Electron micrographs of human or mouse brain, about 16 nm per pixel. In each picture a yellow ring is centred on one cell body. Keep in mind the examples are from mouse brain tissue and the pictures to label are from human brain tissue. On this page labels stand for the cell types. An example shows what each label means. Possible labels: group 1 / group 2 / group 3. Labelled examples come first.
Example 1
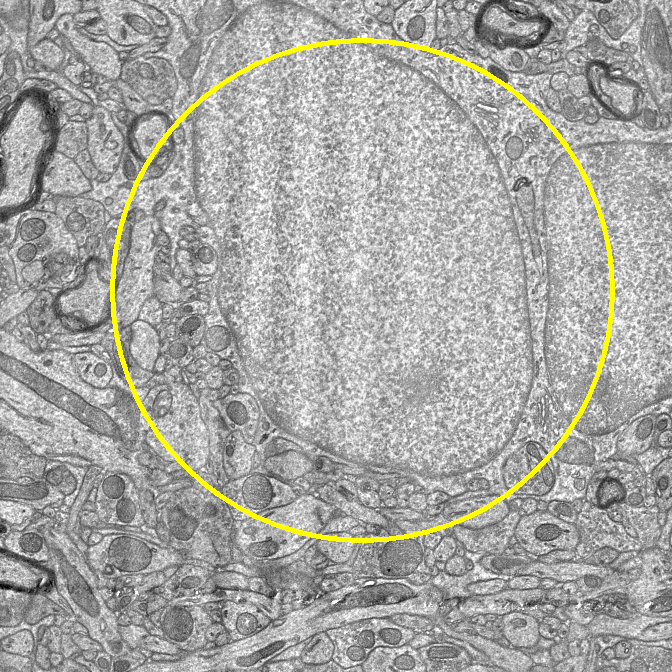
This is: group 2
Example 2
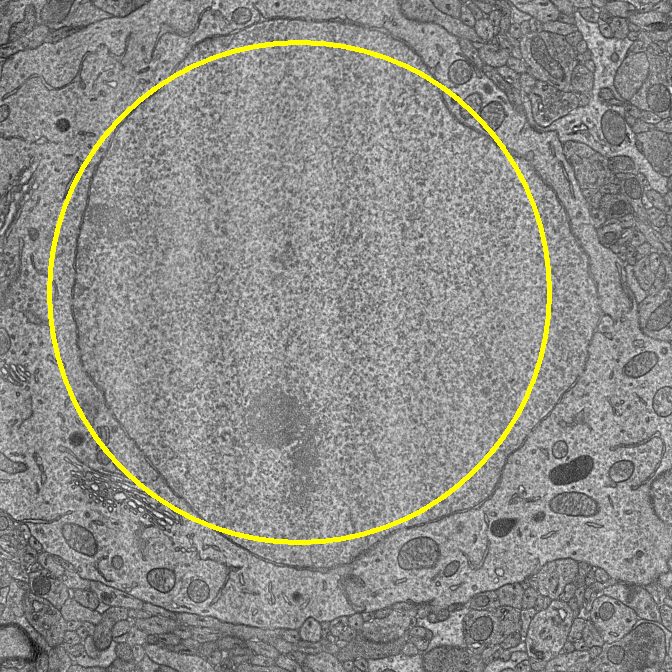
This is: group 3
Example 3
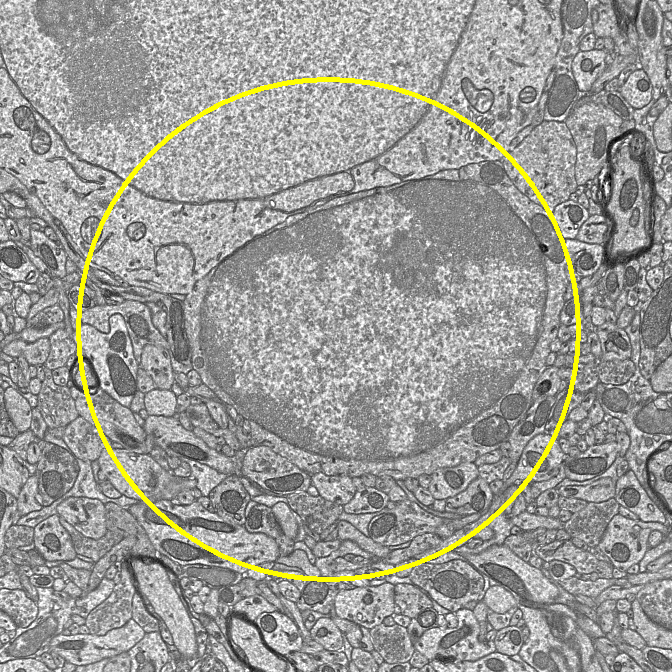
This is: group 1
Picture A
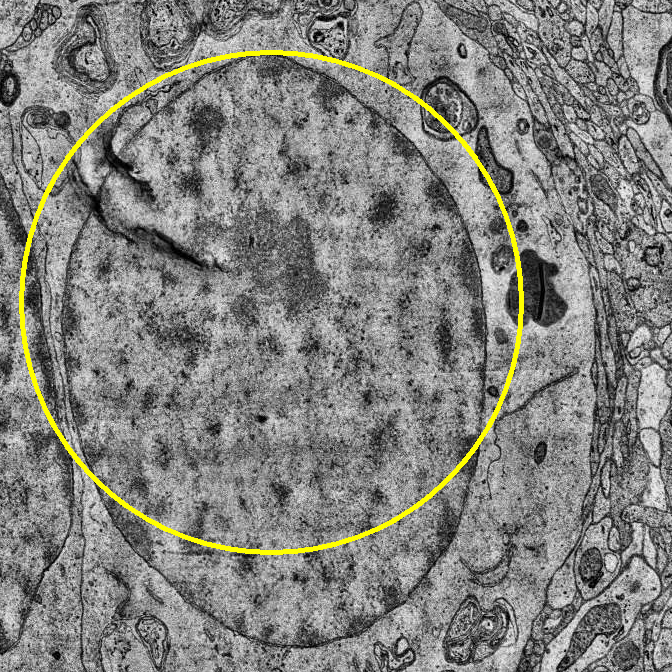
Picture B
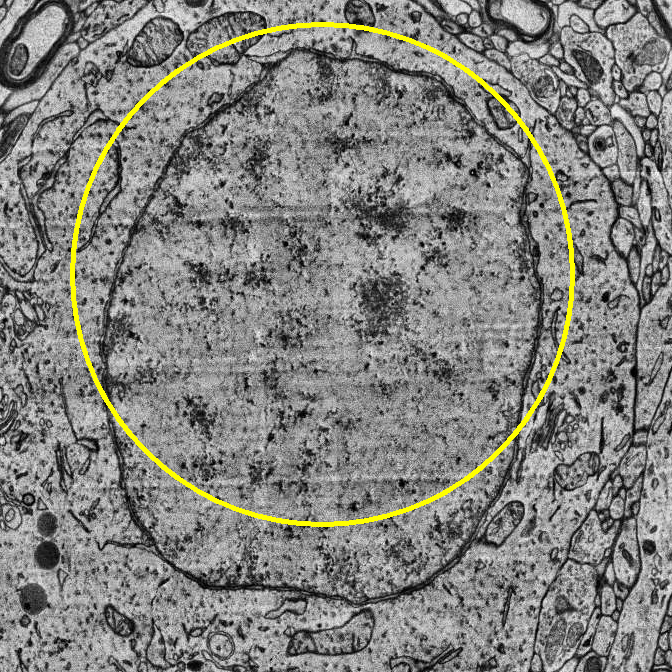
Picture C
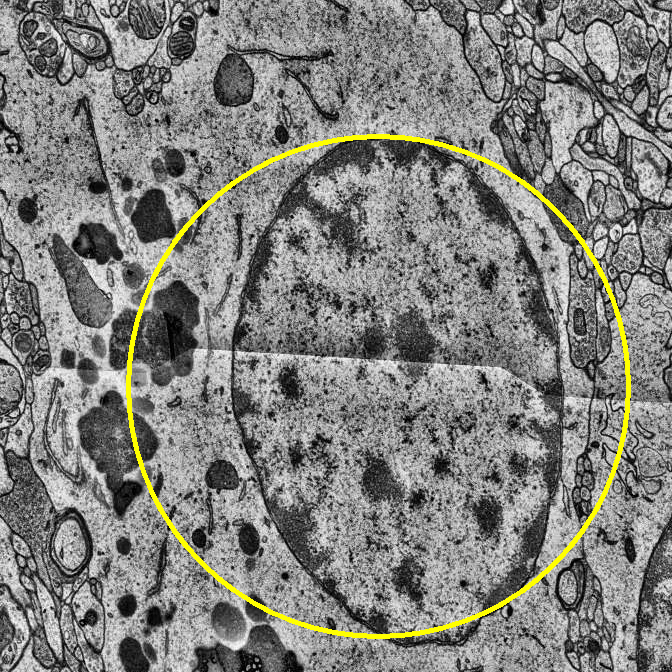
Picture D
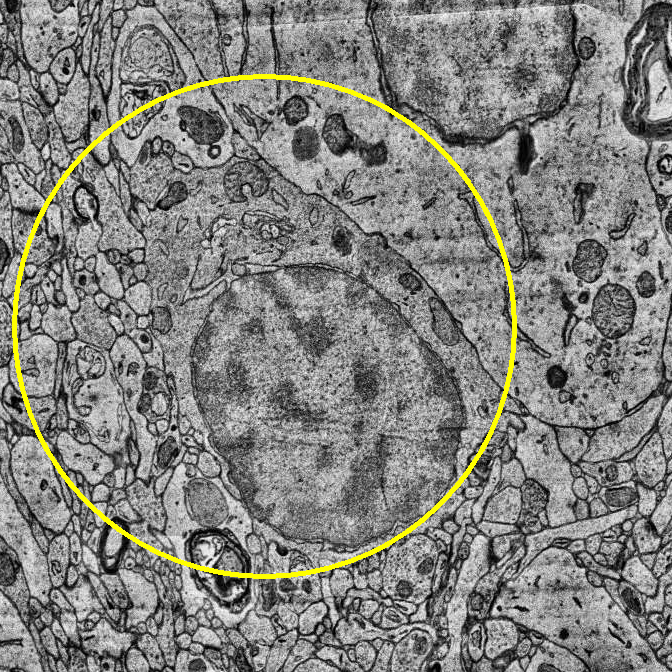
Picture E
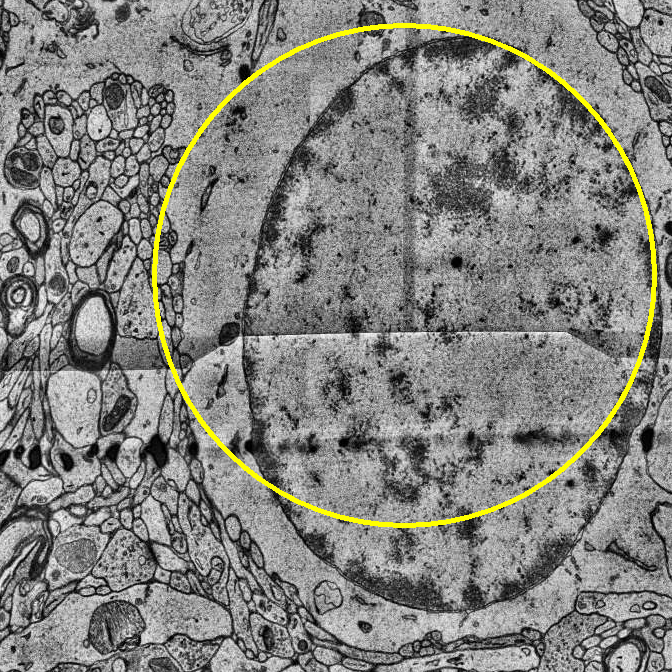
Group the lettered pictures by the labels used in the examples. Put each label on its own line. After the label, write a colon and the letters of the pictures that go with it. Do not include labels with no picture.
group 1: D
group 2: A, C, E
group 3: B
